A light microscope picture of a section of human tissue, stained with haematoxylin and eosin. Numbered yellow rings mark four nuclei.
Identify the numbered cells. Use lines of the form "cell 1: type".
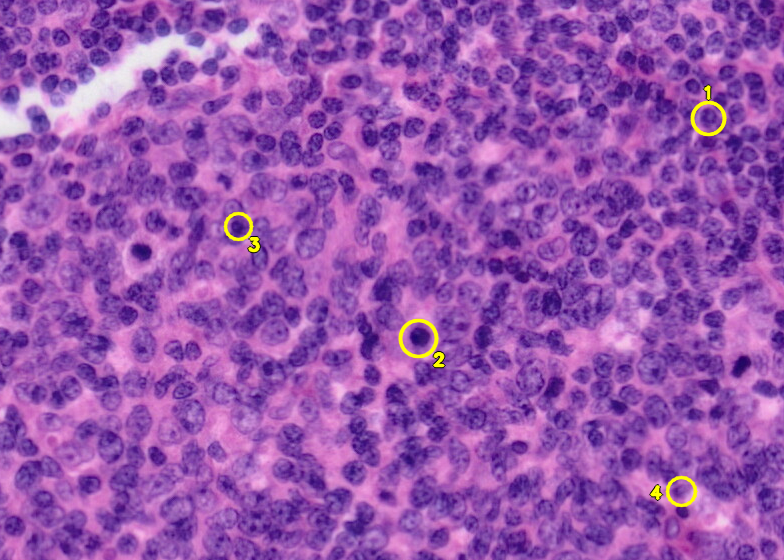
cell 1: small lymphocyte
cell 2: proliferating B cell
cell 3: proliferating B cell
cell 4: proliferating B cell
